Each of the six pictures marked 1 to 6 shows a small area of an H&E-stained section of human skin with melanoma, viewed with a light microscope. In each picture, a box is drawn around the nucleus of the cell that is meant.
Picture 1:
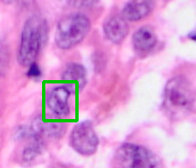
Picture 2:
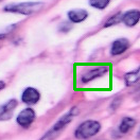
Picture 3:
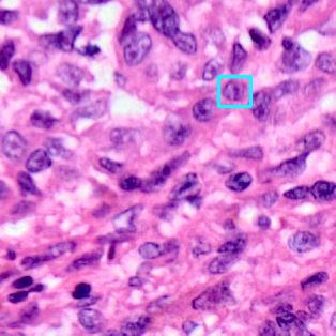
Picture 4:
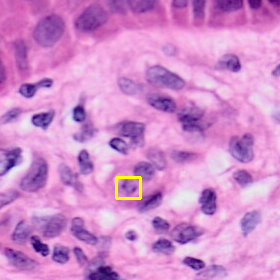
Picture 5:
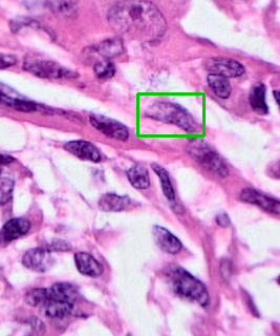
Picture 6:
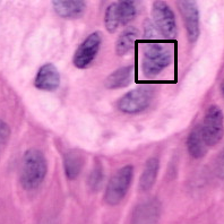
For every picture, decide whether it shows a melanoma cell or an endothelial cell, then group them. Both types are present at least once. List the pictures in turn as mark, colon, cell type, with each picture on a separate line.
1: melanoma cell
2: endothelial cell
3: melanoma cell
4: endothelial cell
5: melanoma cell
6: endothelial cell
